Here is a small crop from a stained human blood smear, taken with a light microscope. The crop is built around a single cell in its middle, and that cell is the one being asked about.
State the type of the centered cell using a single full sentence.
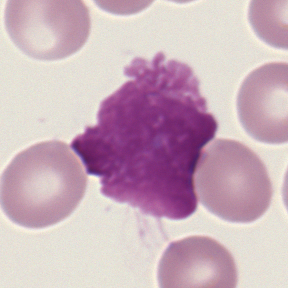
For this crop, the central cell is a smudge cell.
